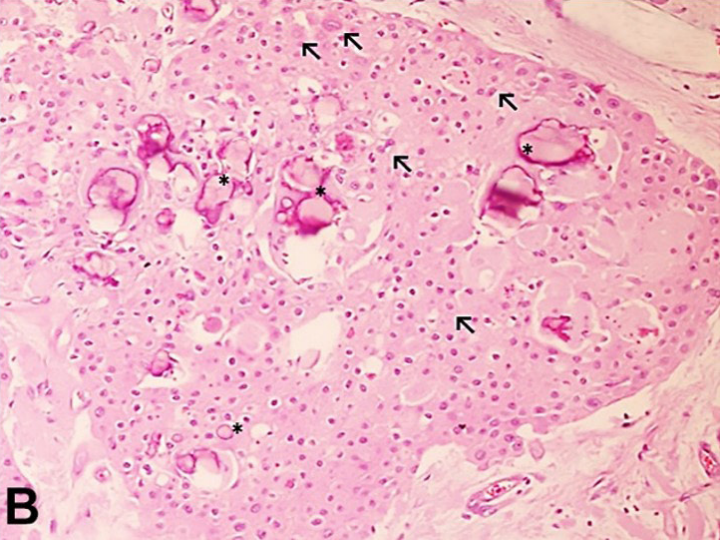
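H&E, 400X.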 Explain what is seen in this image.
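A nest of polyhedral epithelial cells fills most of the field, with fibrous stroma at its upper right edge and in the lower right corner. The cells are closely packed and many-sided, with pink cytoplasm and round nuclei that vary slightly in size and shape. Scattered among the cells are rounded bodies of homogeneous pink material, some with concentric, darker purple-magenta rims of calcification.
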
